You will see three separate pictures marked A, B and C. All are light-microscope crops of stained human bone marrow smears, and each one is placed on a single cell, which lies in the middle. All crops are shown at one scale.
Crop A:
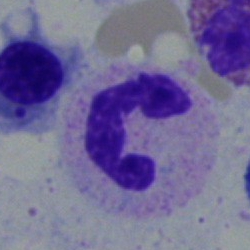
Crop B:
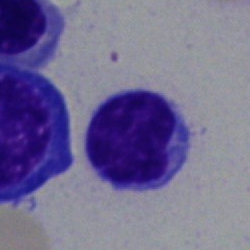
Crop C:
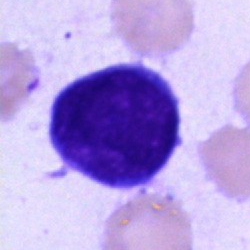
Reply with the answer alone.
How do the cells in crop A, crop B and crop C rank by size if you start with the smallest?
B, C, A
